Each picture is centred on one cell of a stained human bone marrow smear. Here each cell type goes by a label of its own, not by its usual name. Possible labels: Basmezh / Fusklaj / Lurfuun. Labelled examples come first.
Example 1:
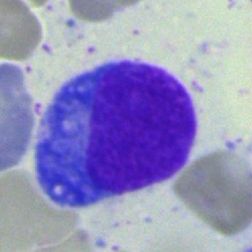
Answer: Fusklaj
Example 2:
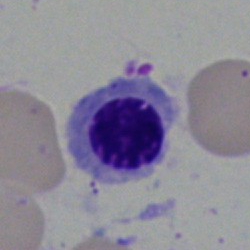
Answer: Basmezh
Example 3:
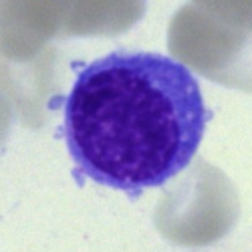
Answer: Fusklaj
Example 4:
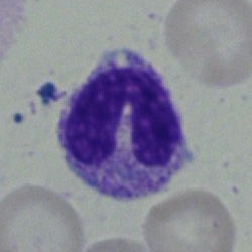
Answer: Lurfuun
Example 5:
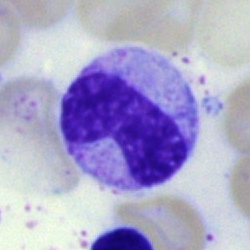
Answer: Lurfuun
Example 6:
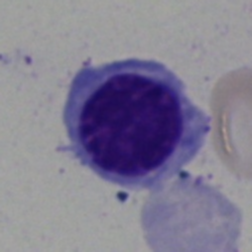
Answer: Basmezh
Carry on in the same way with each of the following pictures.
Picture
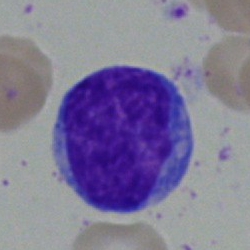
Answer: Fusklaj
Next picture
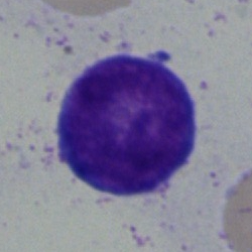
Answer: Fusklaj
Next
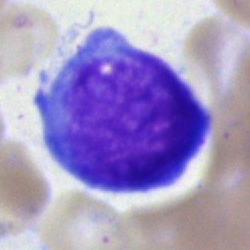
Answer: Fusklaj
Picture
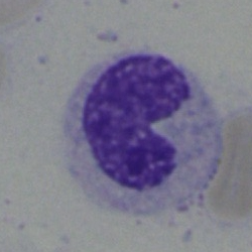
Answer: Lurfuun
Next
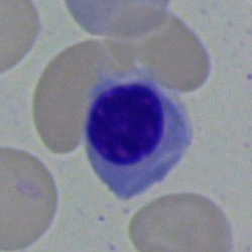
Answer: Basmezh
